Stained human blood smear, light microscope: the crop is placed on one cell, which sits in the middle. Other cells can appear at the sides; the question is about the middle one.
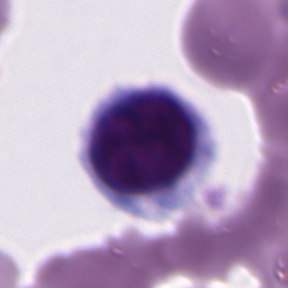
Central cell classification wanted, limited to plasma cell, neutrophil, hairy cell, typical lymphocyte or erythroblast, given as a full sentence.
The cell in the middle of this crop is a hairy cell.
